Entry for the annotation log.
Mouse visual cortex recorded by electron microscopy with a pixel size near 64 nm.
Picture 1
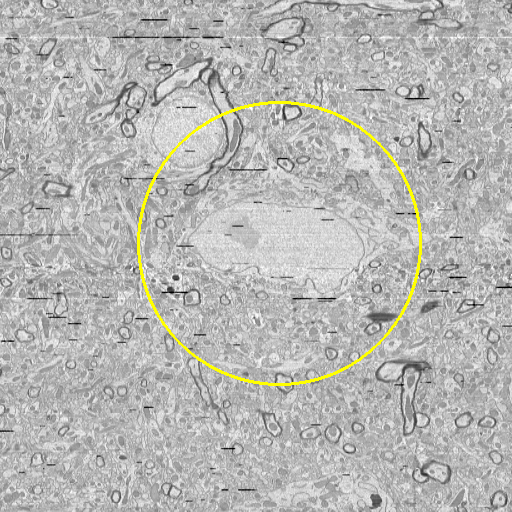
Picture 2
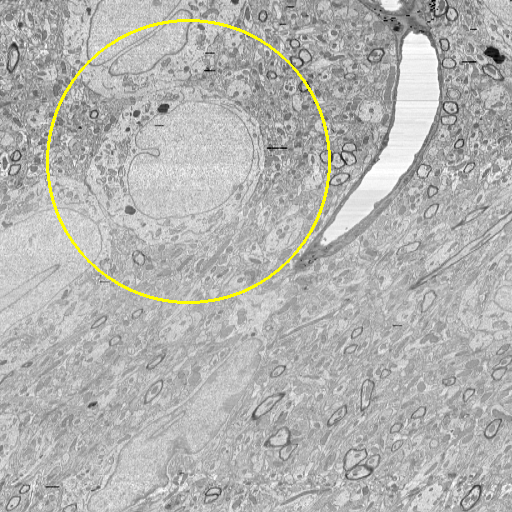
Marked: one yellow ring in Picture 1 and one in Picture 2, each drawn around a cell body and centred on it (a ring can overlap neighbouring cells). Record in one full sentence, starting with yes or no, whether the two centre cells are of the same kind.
No, the two cells are of two kinds.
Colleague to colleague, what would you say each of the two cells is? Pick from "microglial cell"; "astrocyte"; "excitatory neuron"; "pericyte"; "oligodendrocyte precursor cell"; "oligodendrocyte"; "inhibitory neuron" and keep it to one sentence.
The cell in the first picture is an inhibitory neuron; the second picture's cell is an excitatory neuron.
